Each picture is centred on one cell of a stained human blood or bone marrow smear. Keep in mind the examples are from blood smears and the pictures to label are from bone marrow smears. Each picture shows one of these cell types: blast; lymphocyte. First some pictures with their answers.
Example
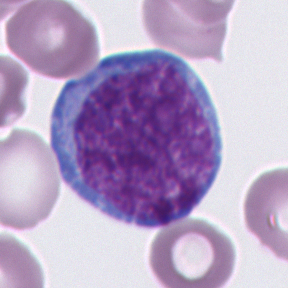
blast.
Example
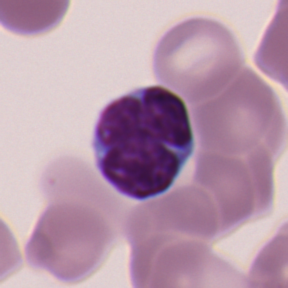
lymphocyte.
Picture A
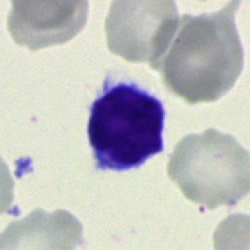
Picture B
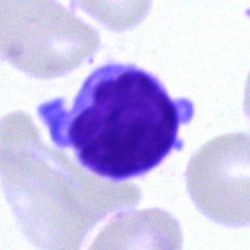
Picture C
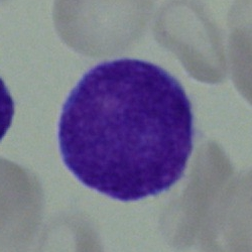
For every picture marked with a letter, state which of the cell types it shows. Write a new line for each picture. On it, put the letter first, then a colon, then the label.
A: lymphocyte.
B: lymphocyte.
C: blast.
